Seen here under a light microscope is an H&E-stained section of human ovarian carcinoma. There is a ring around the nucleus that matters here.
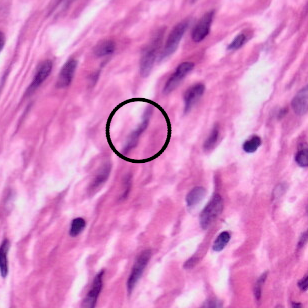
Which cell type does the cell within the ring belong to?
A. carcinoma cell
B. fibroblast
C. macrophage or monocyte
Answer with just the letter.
B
